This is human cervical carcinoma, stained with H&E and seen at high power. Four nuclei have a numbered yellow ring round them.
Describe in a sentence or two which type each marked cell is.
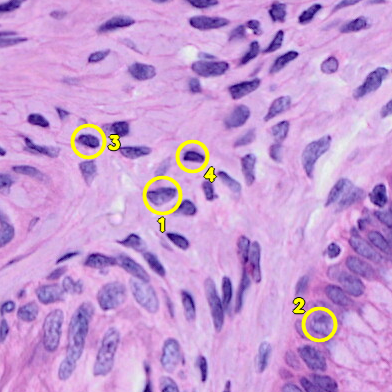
Cells 1, 3 and 4 are fibroblasts. Cell 2 is a secretory epithelial cell.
